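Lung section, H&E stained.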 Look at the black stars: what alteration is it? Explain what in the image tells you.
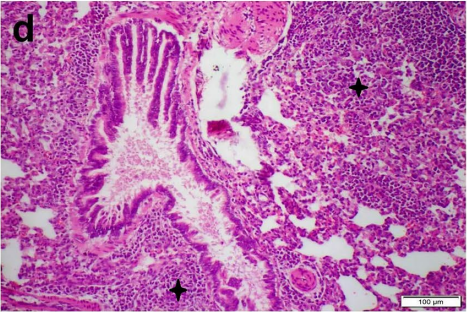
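Crowded small dark nuclei fill the parenchyma at the stars. Air spaces are few and small in these areas.
Conclusion: inflammatory cell infiltration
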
